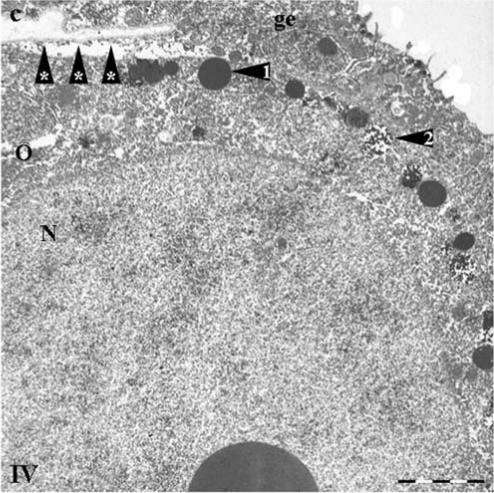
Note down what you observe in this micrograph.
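A narrow rim of cytoplasm between nucleus and cell surface holds a row of granules, some uniformly dark and round, others lighter with a mottled content. A thin covering layer with fine surface projections lies along the upper and right margins.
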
